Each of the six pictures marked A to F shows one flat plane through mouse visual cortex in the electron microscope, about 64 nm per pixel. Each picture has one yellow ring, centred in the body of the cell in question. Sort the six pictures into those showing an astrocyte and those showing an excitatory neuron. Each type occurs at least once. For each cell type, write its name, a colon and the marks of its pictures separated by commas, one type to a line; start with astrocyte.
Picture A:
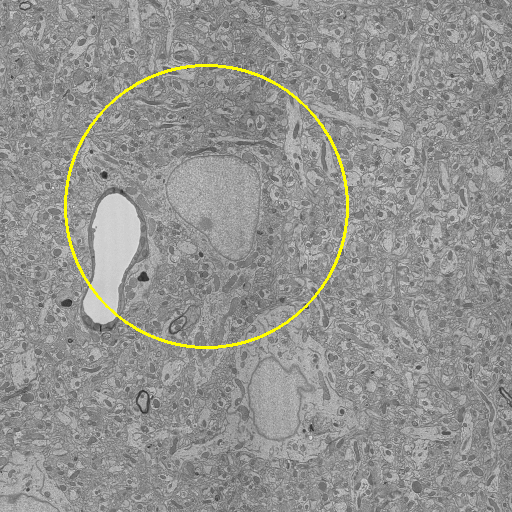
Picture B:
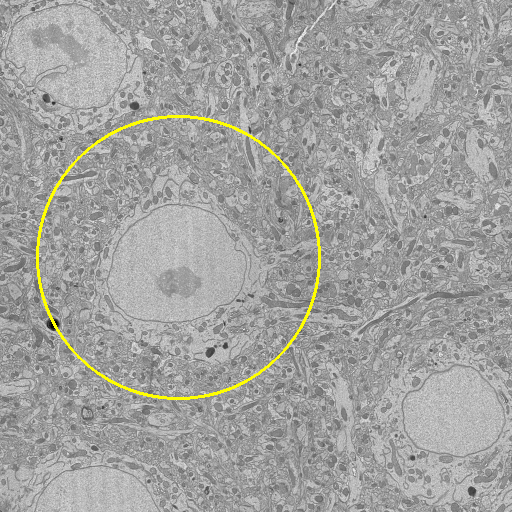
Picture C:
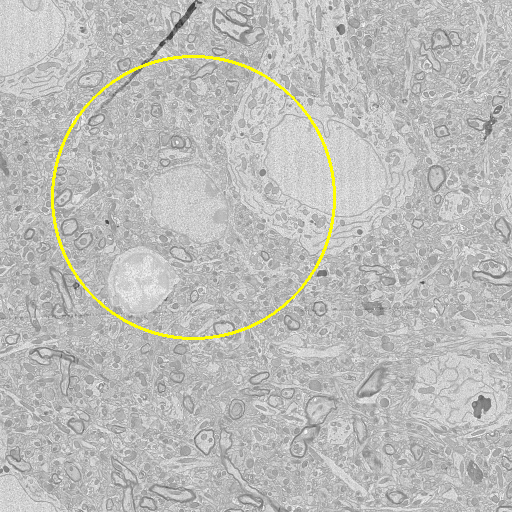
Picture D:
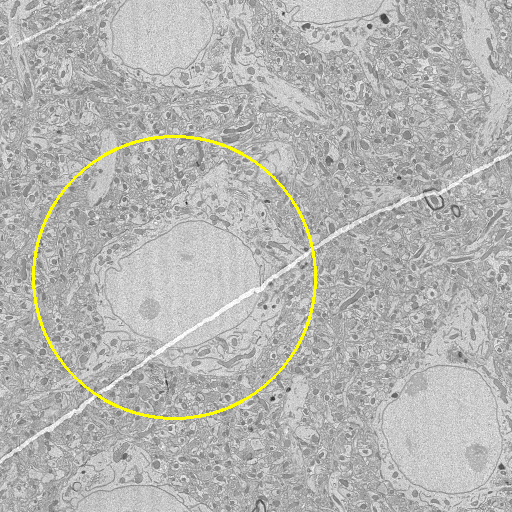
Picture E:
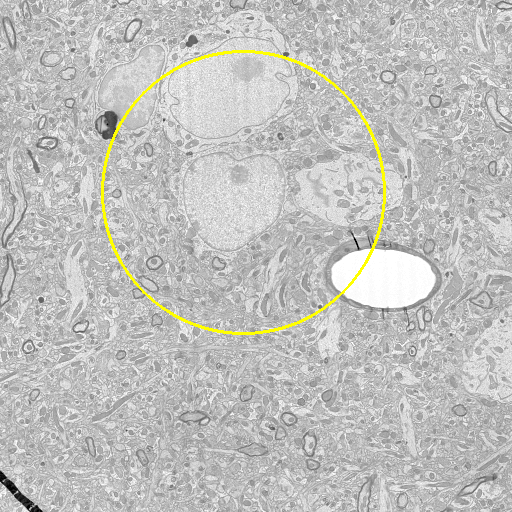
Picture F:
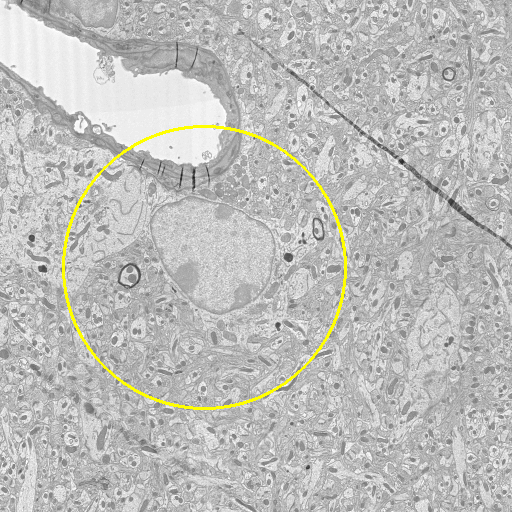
astrocyte: A, C, E, F
excitatory neuron: B, D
